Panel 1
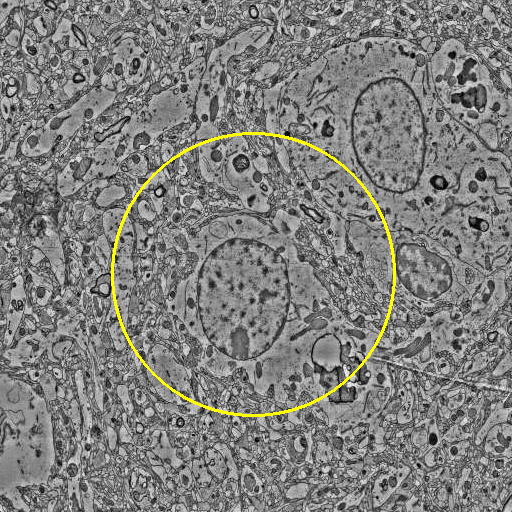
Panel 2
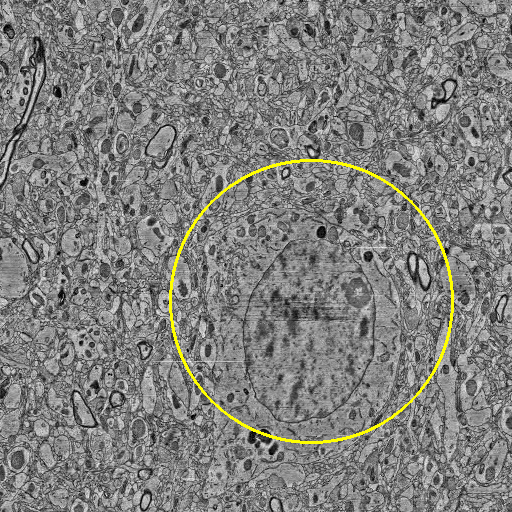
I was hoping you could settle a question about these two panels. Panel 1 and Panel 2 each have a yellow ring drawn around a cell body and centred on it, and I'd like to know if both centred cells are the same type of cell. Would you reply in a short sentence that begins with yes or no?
No, they are two types of cell.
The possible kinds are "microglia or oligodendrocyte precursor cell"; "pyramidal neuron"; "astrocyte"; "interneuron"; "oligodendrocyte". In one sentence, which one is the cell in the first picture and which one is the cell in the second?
The cell ringed in the second picture is a pyramidal neuron, whereas the one ringed in the first is an astrocyte.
